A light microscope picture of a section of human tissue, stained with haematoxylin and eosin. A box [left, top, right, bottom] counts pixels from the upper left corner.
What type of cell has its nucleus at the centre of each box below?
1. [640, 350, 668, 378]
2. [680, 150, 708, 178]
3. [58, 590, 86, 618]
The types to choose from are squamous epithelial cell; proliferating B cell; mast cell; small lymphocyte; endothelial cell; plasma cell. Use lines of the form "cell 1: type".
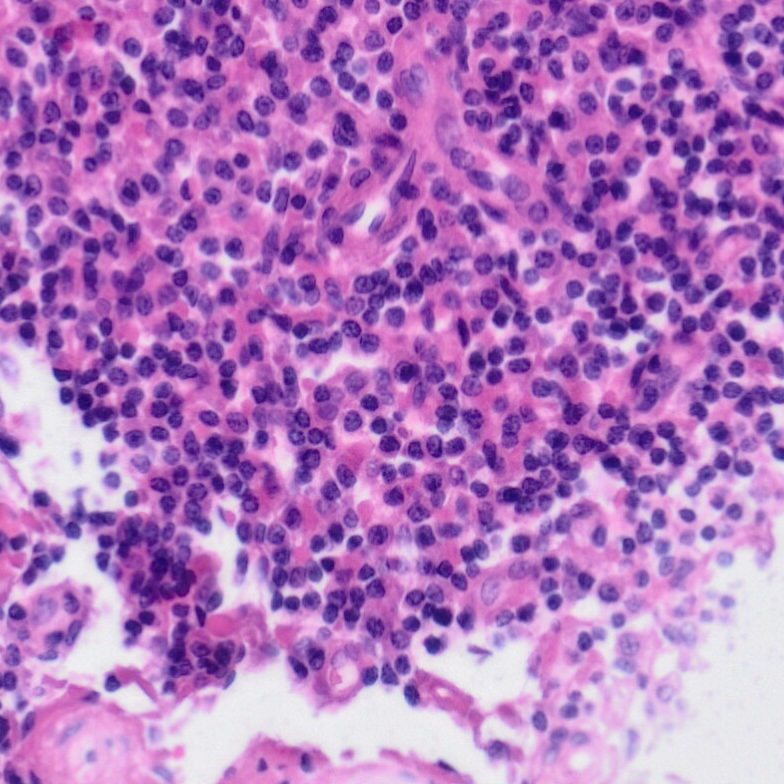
cell 1: endothelial cell
cell 2: small lymphocyte
cell 3: endothelial cell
